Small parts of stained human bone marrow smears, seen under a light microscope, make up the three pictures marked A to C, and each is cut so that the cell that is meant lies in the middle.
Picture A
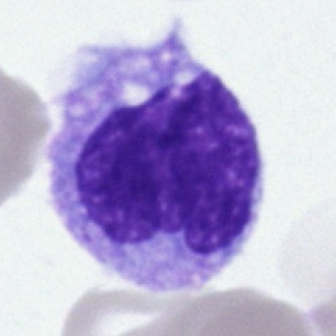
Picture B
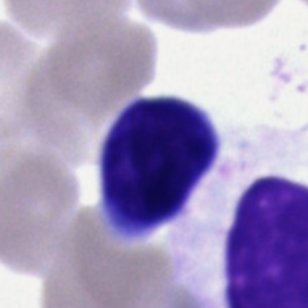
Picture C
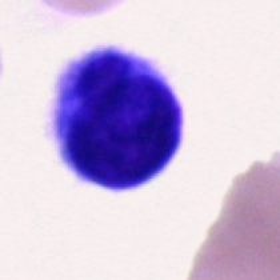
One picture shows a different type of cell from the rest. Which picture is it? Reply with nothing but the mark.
A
